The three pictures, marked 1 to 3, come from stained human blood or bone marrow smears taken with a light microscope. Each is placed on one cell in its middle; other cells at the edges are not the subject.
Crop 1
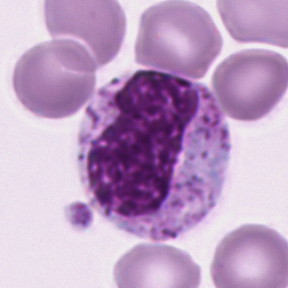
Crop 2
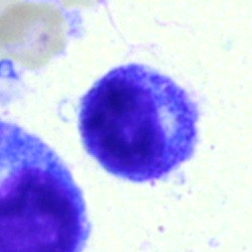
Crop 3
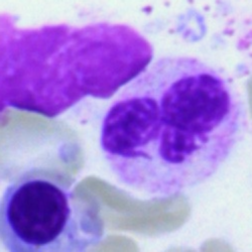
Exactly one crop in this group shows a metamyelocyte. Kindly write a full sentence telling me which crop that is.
Among all the crops given here, the one with a metamyelocyte is crop 1.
